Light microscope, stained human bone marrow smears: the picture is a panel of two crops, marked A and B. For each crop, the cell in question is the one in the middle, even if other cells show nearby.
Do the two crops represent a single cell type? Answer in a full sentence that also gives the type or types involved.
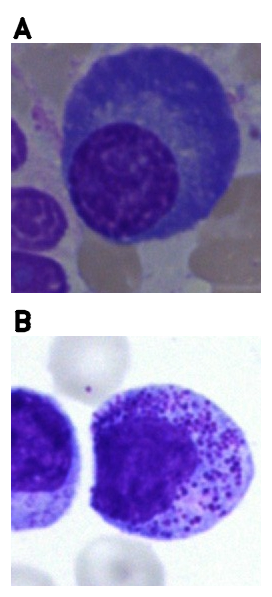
No, crop A is of a plasma cell, and crop B is of a myelocyte.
